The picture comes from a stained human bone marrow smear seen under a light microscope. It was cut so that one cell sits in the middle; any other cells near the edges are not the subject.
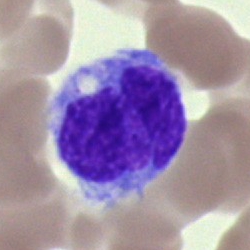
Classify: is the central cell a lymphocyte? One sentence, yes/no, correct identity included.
No, the cell placed at the center is a monocyte rather than a lymphocyte.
